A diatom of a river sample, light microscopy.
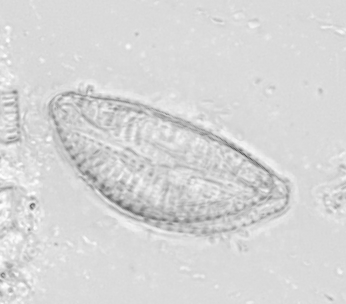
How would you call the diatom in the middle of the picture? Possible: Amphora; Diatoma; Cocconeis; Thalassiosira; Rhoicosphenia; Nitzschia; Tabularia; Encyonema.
I would call it Encyonema.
